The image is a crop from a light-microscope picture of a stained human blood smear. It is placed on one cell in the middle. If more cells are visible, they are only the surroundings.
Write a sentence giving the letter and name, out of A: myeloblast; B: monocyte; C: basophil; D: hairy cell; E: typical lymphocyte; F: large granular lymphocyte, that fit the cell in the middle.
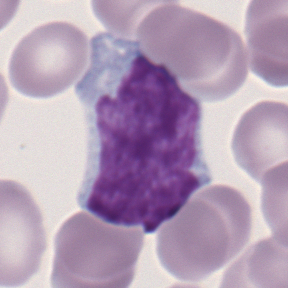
Answer key: option E, the middle cell being a typical lymphocyte.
